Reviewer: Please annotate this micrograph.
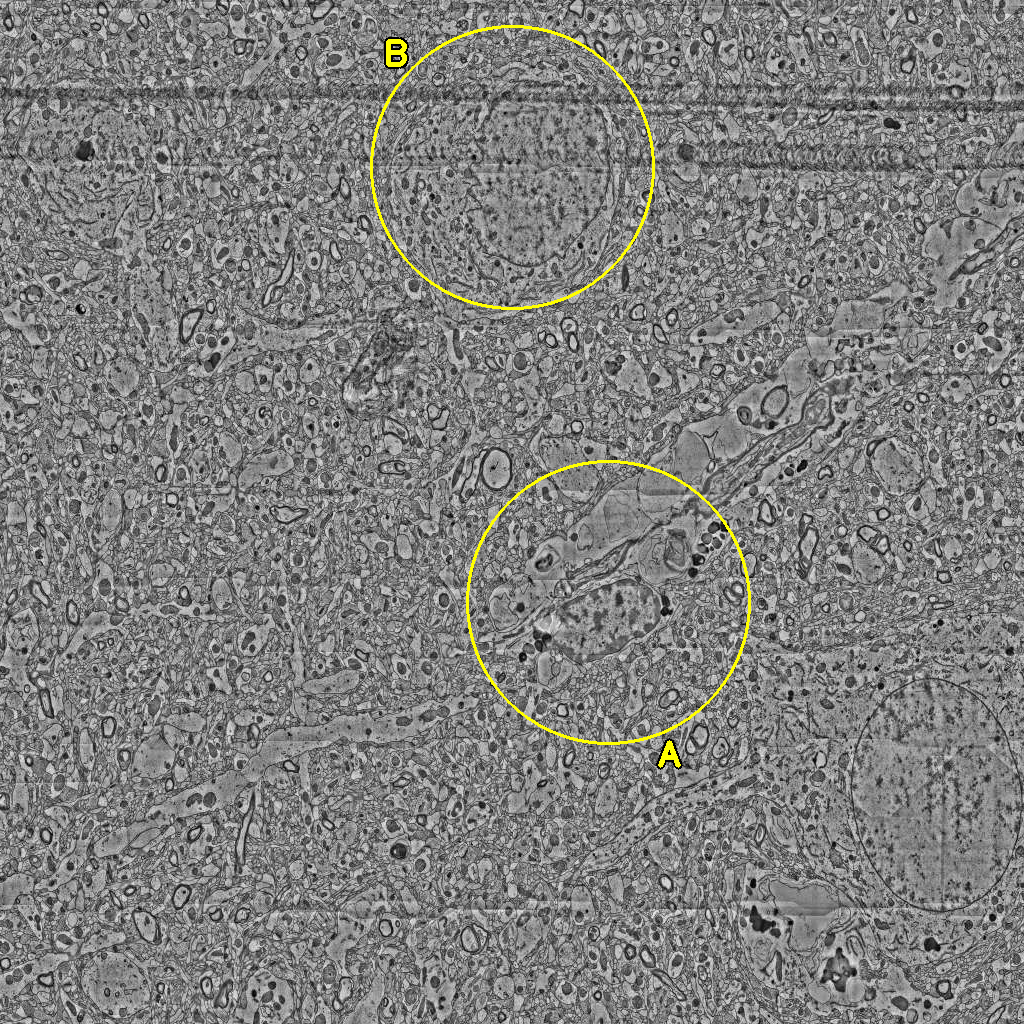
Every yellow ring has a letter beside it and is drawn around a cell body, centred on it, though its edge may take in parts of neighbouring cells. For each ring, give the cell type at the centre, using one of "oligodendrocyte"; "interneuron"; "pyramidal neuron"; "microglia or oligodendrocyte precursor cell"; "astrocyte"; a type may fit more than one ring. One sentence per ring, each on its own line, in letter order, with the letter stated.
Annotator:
The cell in the middle of ring A is a microglial cell or oligodendrocyte precursor cell.
The cell in the middle of ring B is an interneuron.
